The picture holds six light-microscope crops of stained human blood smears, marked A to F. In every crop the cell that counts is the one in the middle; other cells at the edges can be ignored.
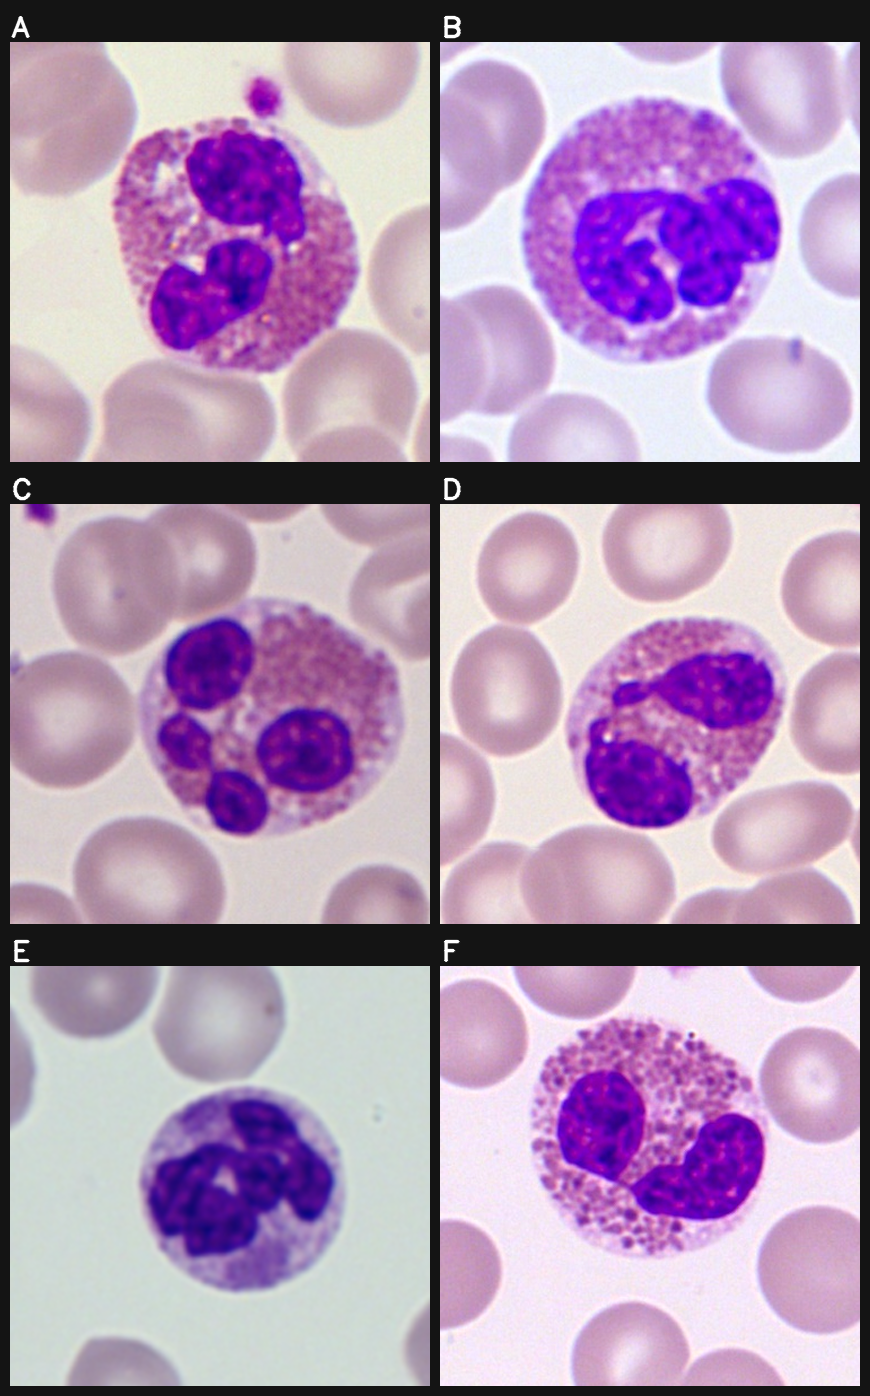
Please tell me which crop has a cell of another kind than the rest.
E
